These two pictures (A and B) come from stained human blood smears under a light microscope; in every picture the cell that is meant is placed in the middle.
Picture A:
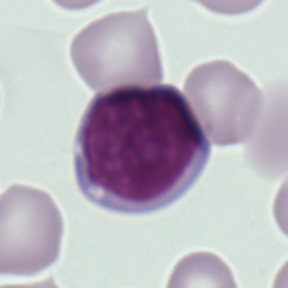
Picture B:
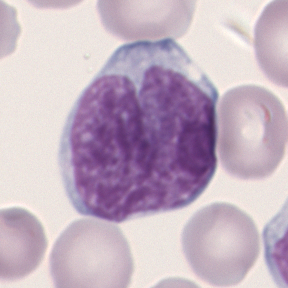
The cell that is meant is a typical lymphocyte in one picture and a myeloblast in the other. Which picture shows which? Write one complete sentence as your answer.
Picture B shows a myeloblast, while picture A shows a typical lymphocyte.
